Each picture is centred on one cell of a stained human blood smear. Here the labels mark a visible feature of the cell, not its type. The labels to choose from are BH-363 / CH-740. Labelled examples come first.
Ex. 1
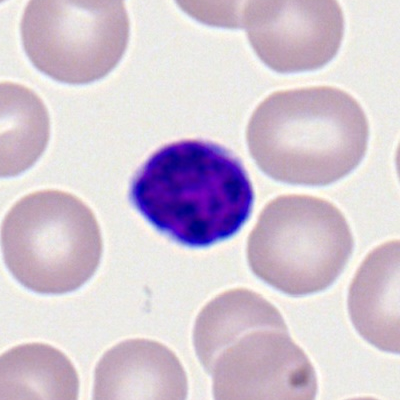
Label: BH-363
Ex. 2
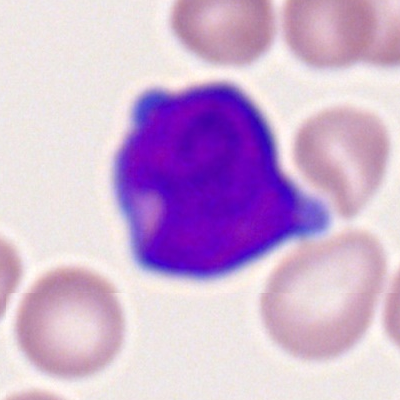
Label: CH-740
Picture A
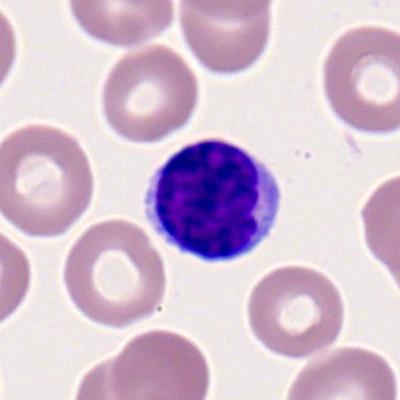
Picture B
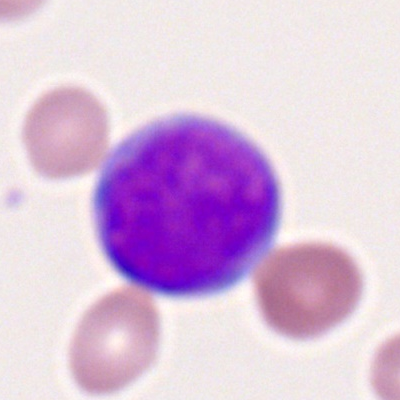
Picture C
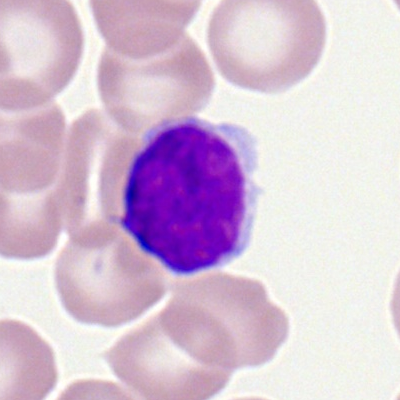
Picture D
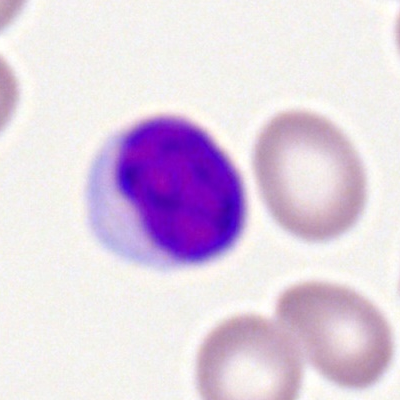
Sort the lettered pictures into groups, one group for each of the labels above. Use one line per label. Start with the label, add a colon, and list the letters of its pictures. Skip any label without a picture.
BH-363: A, B, D
CH-740: C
